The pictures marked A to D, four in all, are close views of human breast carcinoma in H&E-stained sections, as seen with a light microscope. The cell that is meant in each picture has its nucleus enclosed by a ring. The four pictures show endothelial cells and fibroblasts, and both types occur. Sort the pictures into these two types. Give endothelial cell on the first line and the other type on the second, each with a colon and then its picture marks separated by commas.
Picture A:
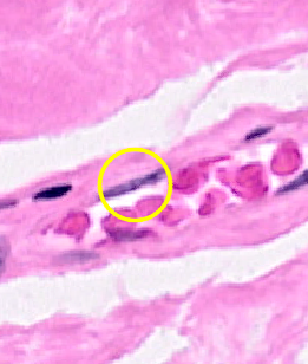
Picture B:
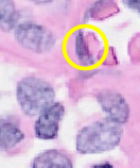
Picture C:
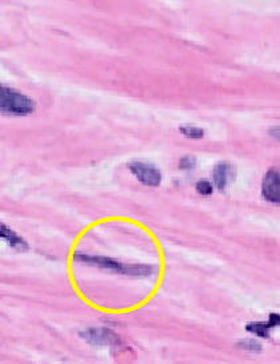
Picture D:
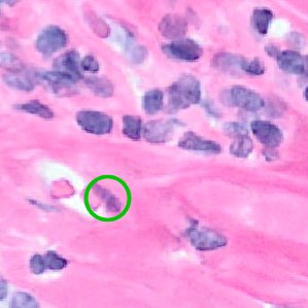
endothelial cell: A, B, D
fibroblast: C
